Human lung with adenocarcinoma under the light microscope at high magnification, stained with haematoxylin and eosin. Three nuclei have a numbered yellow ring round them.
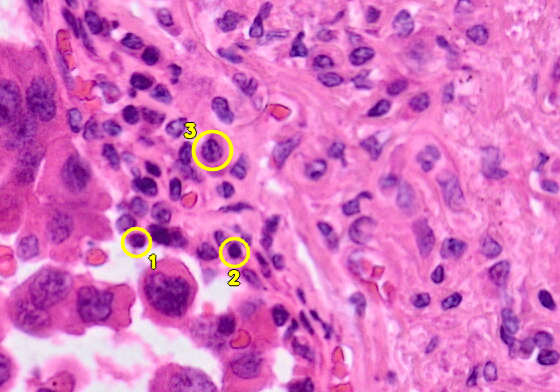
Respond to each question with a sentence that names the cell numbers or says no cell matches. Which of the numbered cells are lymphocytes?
Here, the cells that carry numbers 1 and 2 are lymphocytes.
